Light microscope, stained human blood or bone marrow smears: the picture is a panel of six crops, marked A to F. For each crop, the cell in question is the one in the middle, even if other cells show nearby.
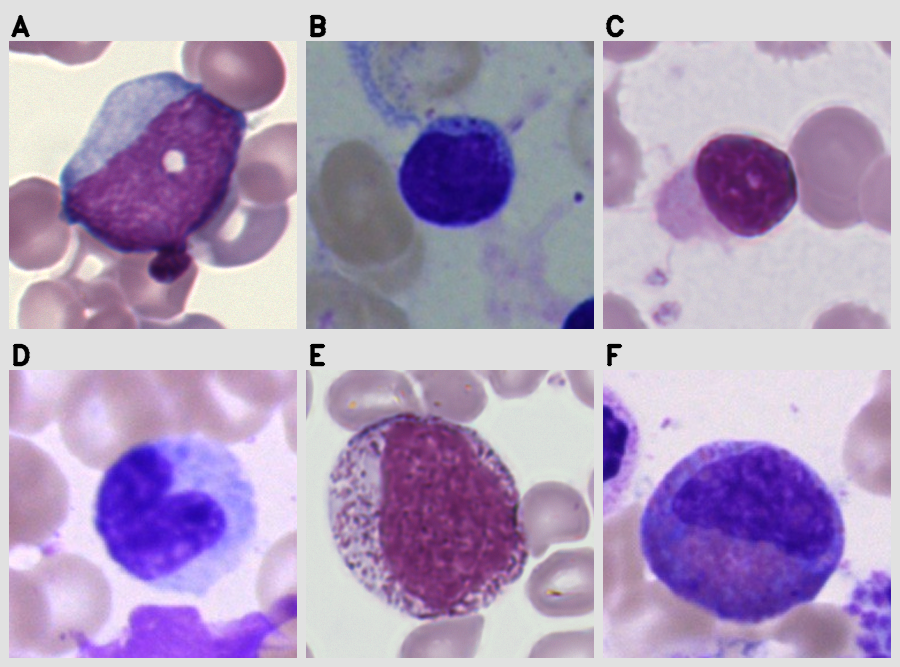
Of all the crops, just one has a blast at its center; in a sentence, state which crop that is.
On review of the set, crop A is the one showing a blast.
